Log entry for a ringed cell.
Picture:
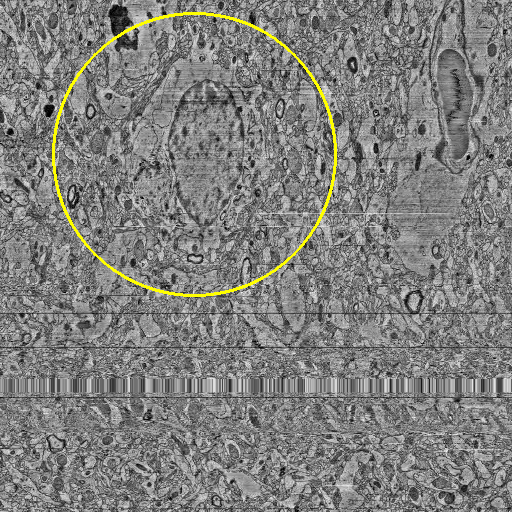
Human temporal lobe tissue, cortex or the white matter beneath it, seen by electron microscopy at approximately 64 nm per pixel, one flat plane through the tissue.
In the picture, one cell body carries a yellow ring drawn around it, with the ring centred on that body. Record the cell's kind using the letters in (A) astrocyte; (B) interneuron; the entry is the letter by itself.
A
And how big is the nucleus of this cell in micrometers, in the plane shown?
Roughly 10 by 5 micrometers, clearly longer than it is wide in this plane.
